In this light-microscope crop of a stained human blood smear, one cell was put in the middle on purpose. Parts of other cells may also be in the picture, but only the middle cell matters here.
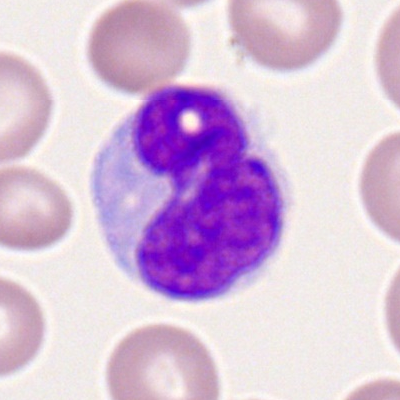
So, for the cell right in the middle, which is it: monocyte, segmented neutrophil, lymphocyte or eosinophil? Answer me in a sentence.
The cell sitting right in the middle is a monocyte.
